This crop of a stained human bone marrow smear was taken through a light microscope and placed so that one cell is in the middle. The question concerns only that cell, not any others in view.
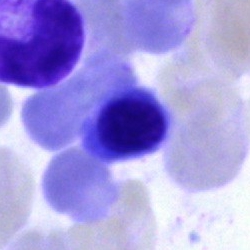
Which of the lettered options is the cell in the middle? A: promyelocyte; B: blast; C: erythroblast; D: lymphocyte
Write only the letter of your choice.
C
